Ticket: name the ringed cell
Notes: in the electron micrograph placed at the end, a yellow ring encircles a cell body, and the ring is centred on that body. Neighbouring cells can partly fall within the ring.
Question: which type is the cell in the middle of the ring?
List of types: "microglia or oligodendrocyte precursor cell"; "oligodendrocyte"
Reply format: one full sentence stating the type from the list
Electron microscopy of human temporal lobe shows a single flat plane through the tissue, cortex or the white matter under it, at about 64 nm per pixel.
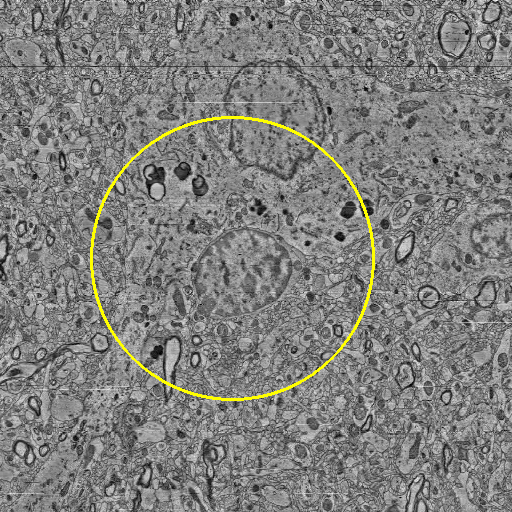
The cell sitting at the centre of the yellow ring is an oligodendrocyte.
